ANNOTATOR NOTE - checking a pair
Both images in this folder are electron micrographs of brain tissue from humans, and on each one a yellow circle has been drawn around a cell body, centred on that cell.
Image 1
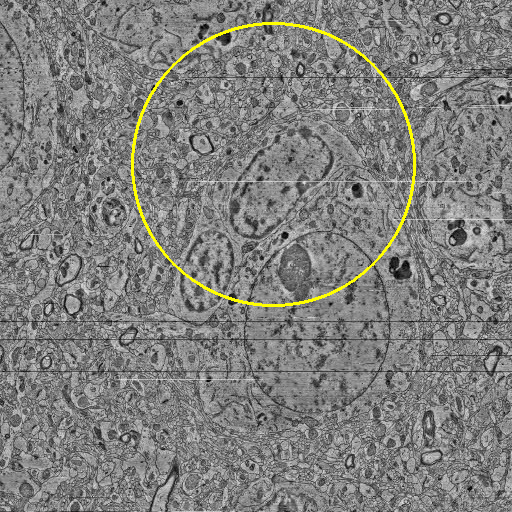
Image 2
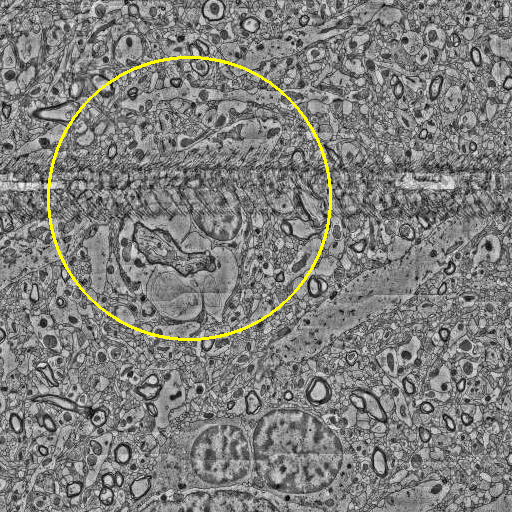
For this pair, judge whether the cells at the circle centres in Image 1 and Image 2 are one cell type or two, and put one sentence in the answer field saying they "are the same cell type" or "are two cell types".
For this pair, the cells at the circle centres in Images 1 and 2 are the same cell type.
